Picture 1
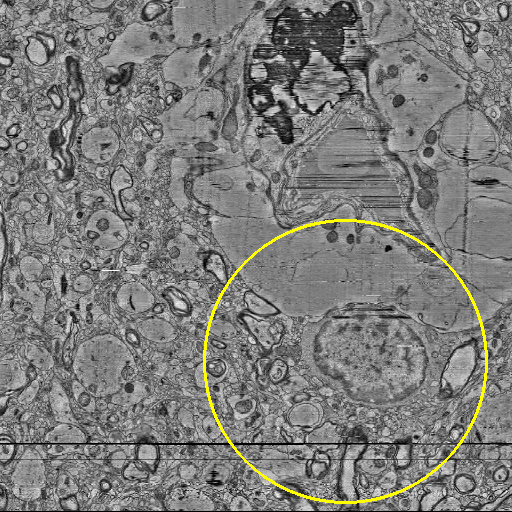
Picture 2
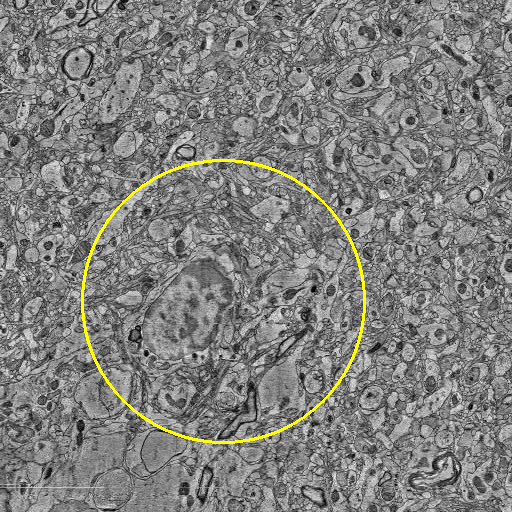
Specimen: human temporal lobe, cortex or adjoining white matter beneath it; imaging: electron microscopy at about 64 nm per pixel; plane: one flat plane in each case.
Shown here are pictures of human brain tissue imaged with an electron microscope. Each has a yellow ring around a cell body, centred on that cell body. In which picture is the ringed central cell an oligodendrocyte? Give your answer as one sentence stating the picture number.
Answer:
My answer is picture 1, where the ringed cell at the centre is the one sought.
